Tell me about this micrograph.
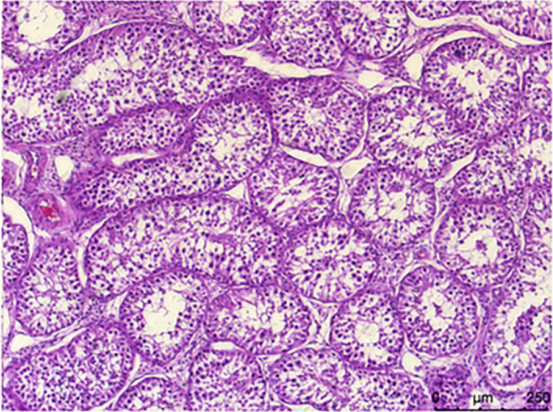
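Cross sections of seminiferous tubules of the testis fill the field, round to oval and closely packed. Each tubule is bounded by a thin pink wall and lined by several layers of germ cells with dark purple round nuclei, arranged from the wall toward a central lumen. Many lumens are small and contain pale, fine, streaming material; some are wider and clear. Between the tubules lie narrow pale spaces with slender strands of pink interstitial tissue. A small vessel with red blood cells is seen at the left edge. The tubules are evenly arranged.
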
